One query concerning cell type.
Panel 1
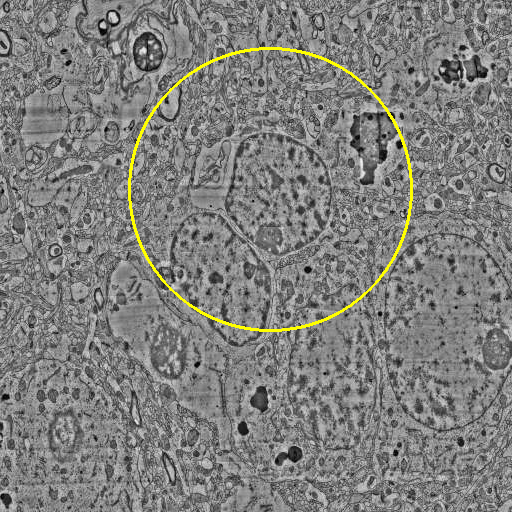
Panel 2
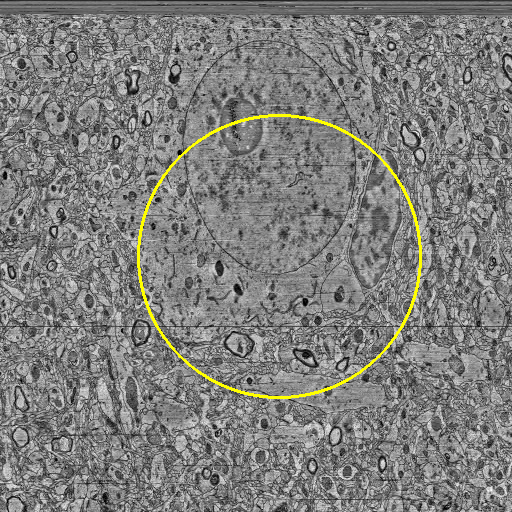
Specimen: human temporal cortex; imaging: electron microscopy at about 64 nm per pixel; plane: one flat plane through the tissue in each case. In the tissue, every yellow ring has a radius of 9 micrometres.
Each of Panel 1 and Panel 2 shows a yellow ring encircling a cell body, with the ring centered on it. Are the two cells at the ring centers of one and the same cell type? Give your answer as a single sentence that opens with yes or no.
No, the cell centered in Panel 1 and the one in Panel 2 are of two types.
